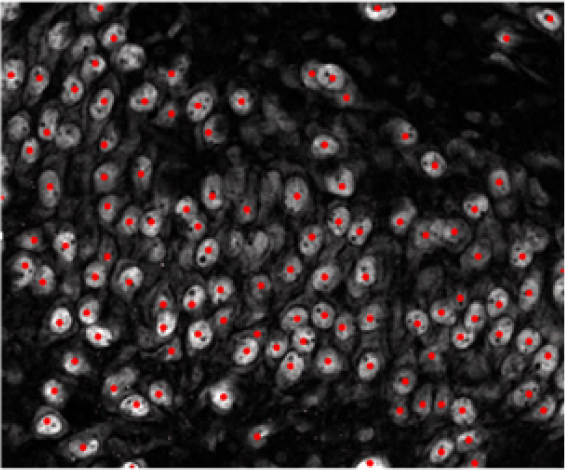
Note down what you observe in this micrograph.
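The nuclei are bright, round to oval and of similar size. Many contain one or more small darker spots inside. They lie closely side by side, with a slightly darker, less crowded region toward the upper right. The space between them is dim and faintly textured.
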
